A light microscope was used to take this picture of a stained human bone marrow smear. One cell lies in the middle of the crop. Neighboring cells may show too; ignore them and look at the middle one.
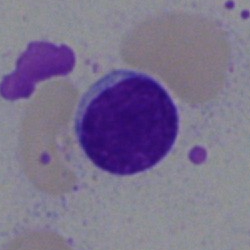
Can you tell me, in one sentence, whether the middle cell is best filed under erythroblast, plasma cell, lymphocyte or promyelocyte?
The centered cell in this crop is a lymphocyte.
